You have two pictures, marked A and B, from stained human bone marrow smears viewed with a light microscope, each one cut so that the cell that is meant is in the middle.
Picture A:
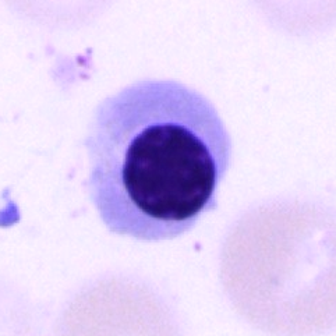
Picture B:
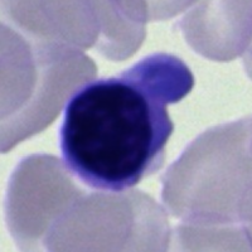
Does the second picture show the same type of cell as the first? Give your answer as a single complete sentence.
Yes, both cells are erythroblasts.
